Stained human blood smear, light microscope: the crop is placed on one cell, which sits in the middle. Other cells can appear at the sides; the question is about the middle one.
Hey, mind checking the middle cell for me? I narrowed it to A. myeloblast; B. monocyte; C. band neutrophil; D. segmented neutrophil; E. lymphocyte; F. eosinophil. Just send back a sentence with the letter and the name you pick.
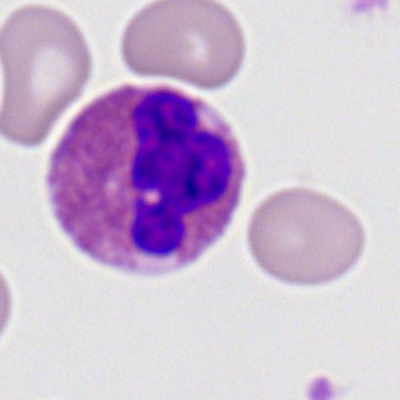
The cell in the middle is an eosinophil, so option F is correct.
